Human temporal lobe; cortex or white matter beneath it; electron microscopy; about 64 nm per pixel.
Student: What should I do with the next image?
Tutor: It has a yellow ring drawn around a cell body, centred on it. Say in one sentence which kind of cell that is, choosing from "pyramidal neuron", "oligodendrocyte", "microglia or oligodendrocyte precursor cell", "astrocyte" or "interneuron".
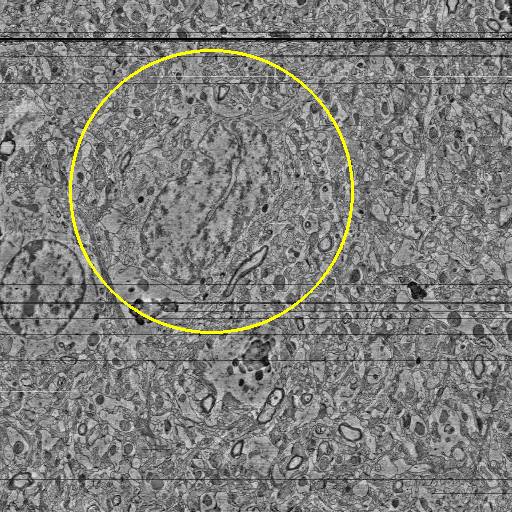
The ring's centre is occupied by an interneuron.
